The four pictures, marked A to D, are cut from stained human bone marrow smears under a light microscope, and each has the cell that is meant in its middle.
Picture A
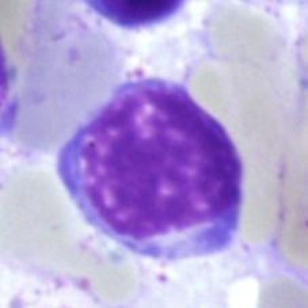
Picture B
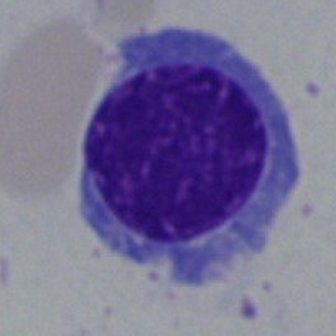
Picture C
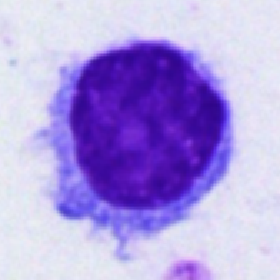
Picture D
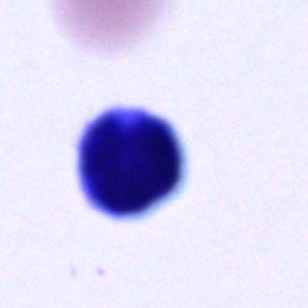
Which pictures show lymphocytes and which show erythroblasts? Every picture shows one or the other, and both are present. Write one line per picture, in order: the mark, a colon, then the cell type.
A: lymphocyte
B: erythroblast
C: lymphocyte
D: lymphocyte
